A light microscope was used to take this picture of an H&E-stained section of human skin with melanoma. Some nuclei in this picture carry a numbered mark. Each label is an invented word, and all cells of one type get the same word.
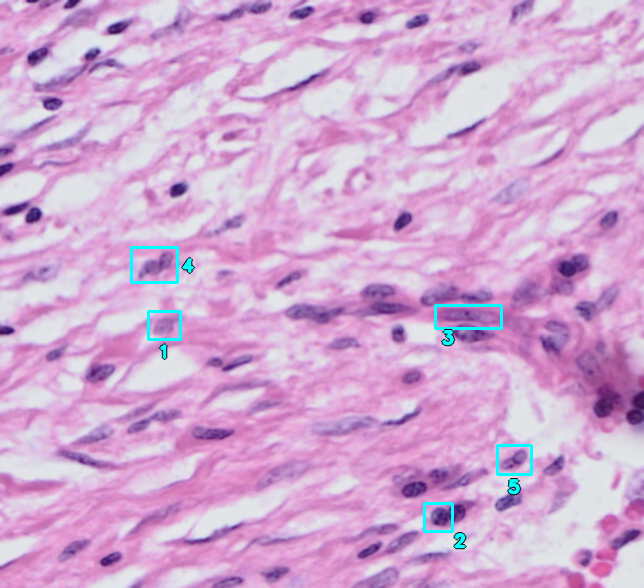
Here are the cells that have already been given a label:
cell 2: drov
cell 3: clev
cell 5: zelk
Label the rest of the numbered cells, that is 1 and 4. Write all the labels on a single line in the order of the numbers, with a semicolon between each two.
zelk; zelk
